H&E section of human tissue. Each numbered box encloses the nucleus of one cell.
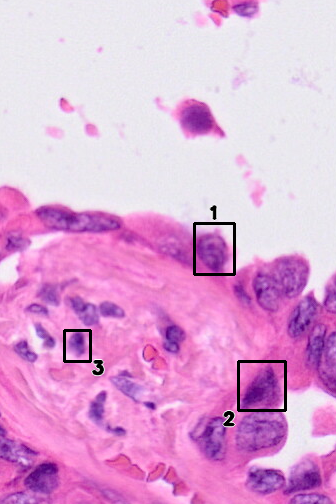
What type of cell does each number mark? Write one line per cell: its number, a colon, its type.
1: carcinoma cell
2: carcinoma cell
3: lymphocyte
